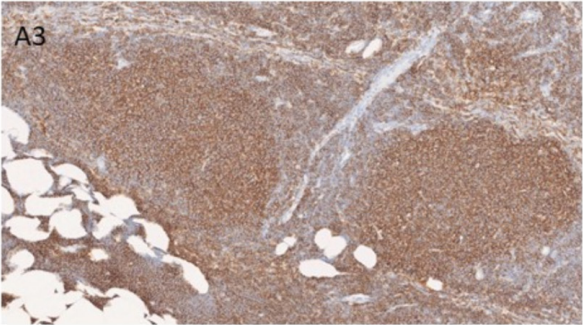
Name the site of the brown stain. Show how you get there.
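Two large rounded nodules are densely brown. The tissue between the nodules is also largely brown. Brown cells extend among the fat cells at the lower left.
Hence: both follicular and interfollicular areas.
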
